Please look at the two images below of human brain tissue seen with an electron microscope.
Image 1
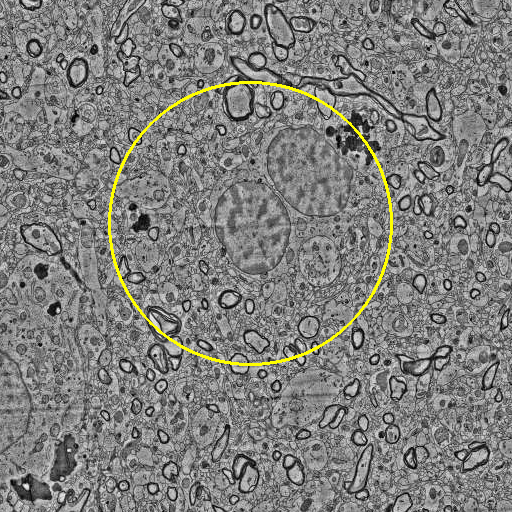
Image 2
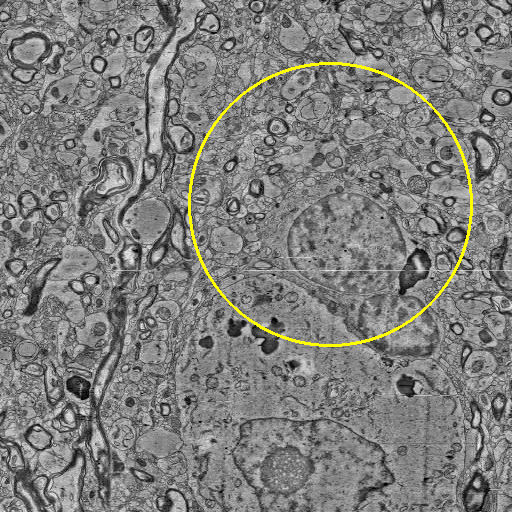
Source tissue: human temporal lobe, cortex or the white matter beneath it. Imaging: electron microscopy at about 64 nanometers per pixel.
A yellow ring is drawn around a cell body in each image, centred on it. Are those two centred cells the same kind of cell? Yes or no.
yes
